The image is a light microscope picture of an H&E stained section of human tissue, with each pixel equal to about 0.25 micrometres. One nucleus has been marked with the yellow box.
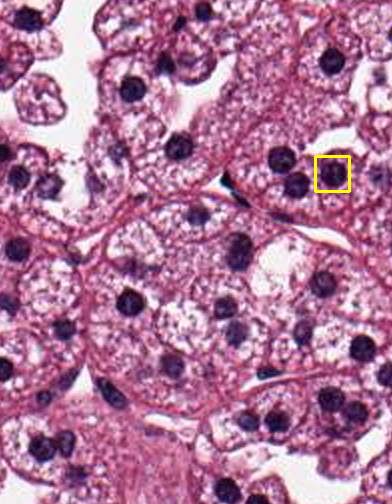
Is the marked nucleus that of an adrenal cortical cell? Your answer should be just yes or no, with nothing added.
yes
